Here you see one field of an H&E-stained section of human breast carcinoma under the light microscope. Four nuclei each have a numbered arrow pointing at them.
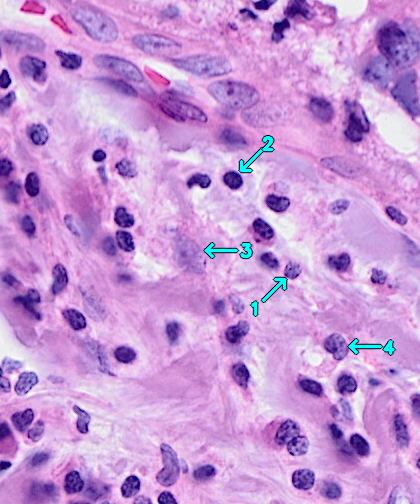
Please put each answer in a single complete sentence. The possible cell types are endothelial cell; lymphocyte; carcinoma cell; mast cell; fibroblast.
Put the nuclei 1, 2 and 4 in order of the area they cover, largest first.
The nuclei rank 4, 2, 1, from largest to smallest.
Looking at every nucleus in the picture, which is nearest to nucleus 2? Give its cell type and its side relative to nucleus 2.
A lymphocyte lies closest, to the left of nucleus 2.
